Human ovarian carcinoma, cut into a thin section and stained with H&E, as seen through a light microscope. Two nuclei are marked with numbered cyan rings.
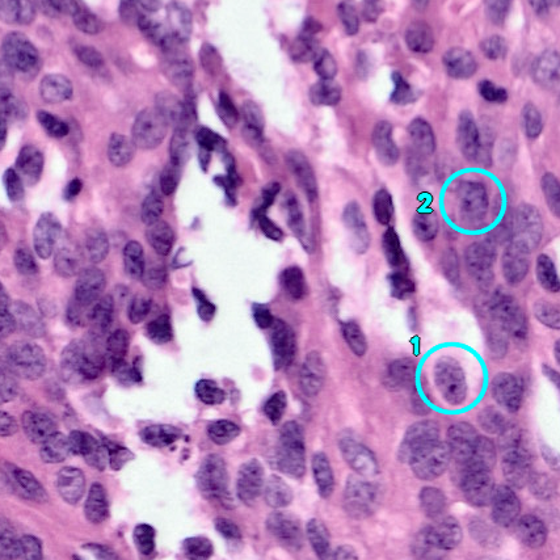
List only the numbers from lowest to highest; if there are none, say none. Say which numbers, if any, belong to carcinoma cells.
2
